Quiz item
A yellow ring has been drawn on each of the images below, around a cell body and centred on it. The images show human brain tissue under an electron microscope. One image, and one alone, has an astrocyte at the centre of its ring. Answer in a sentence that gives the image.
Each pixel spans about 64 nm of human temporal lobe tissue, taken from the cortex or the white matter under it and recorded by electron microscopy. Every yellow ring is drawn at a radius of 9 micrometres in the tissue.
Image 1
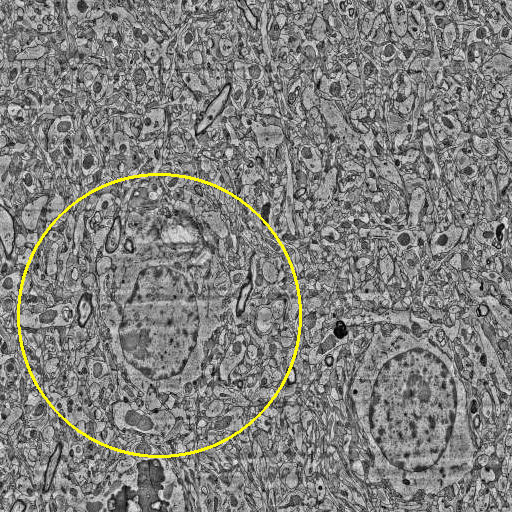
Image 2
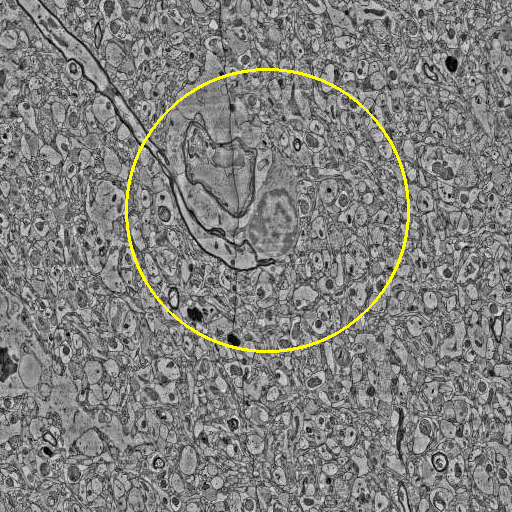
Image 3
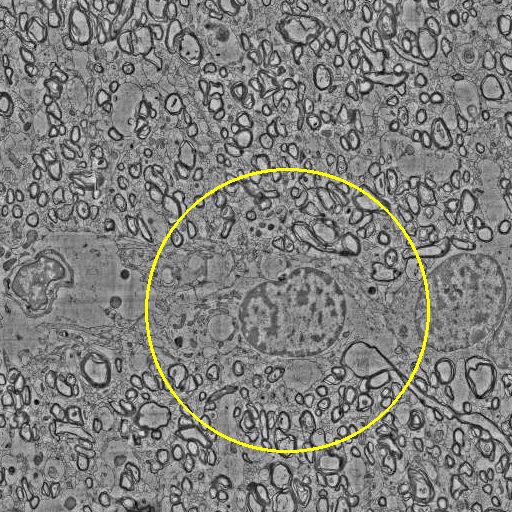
Image 1 shows it at the centre of the ring.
